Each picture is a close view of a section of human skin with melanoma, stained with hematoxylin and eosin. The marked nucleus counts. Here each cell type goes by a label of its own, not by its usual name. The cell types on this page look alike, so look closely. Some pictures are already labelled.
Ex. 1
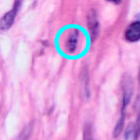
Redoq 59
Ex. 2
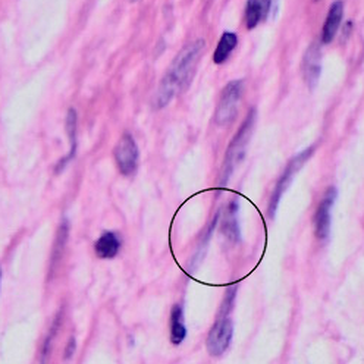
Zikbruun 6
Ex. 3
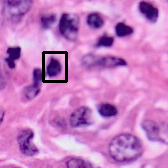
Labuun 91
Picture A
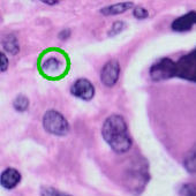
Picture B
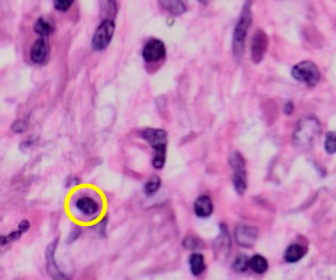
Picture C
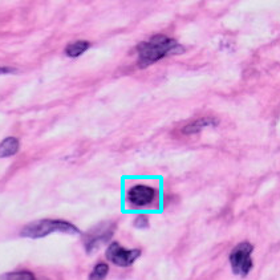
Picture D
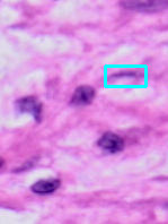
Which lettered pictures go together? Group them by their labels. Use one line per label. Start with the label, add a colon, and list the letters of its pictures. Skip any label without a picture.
Redoq 59: B, C
Zikbruun 6: D
Labuun 91: A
